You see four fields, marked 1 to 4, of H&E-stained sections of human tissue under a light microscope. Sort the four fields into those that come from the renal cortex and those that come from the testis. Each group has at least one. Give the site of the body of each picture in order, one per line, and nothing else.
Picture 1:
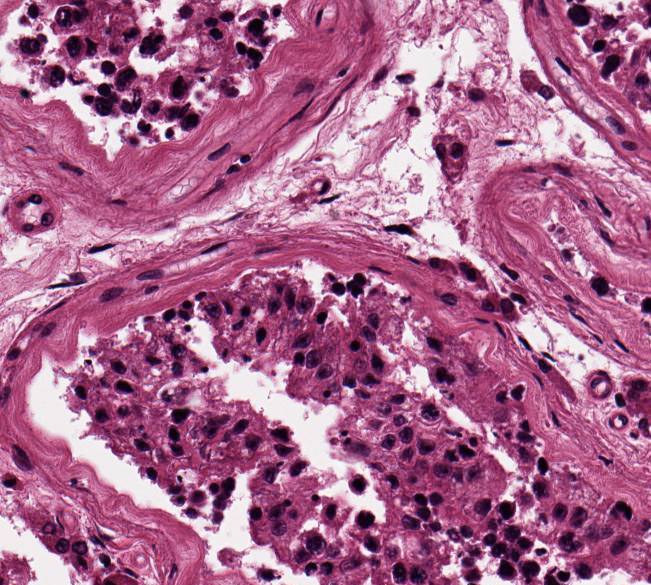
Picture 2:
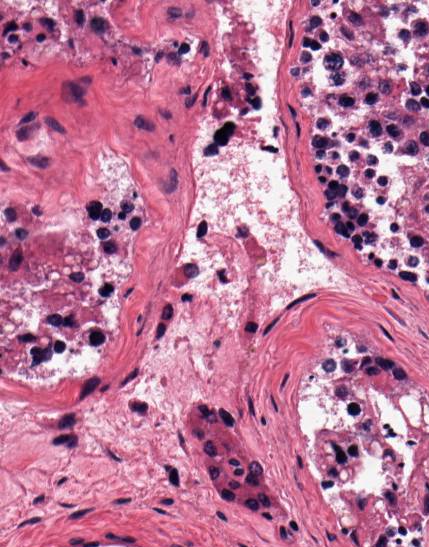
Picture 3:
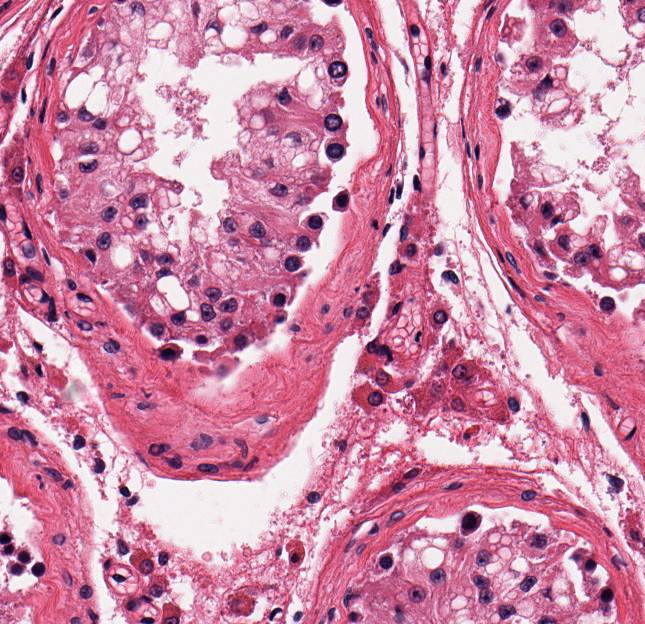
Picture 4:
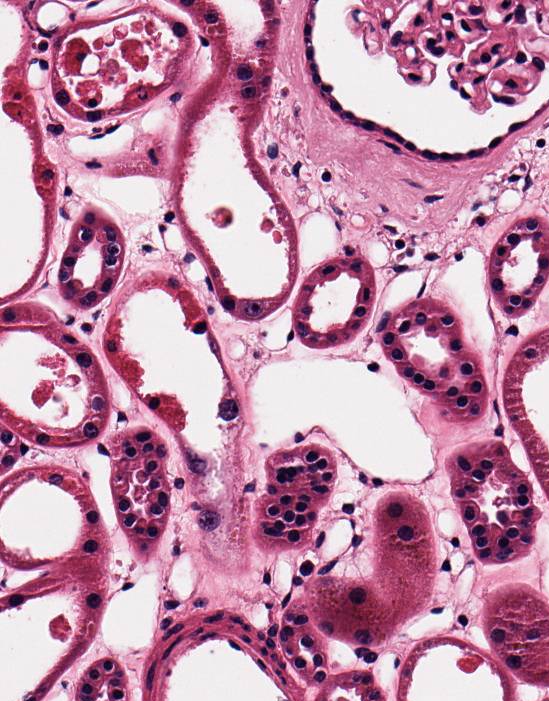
testis
testis
testis
renal cortex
